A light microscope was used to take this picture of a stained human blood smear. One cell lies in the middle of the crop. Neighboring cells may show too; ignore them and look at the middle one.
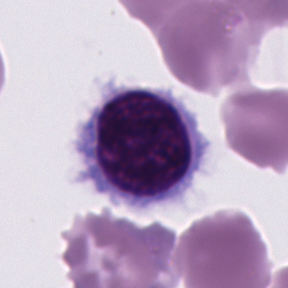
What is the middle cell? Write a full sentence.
As for the central cell, it is a hairy cell.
